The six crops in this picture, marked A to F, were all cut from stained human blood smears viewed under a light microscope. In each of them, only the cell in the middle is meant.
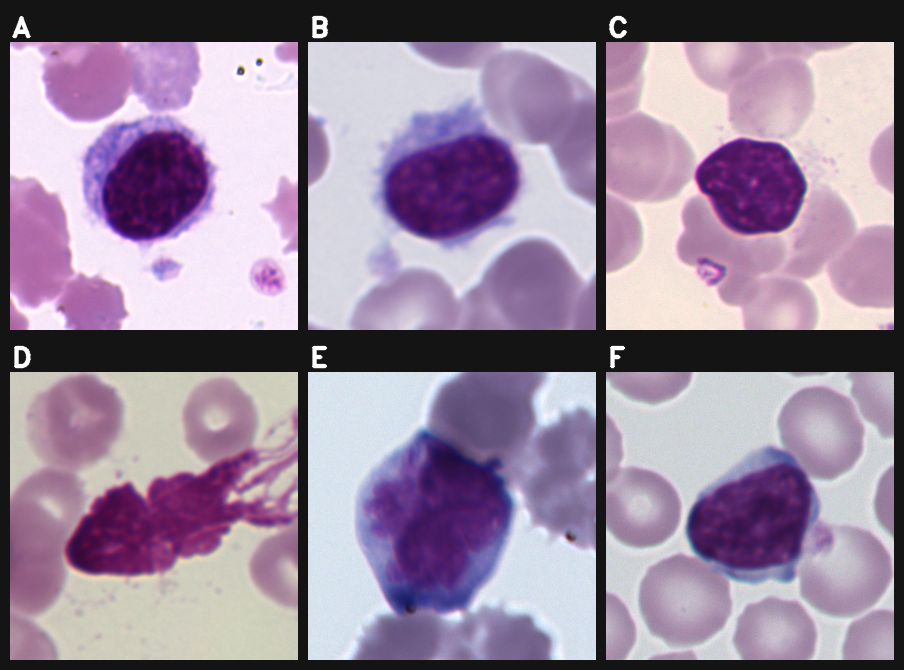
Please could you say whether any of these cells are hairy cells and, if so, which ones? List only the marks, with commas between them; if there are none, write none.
A, B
